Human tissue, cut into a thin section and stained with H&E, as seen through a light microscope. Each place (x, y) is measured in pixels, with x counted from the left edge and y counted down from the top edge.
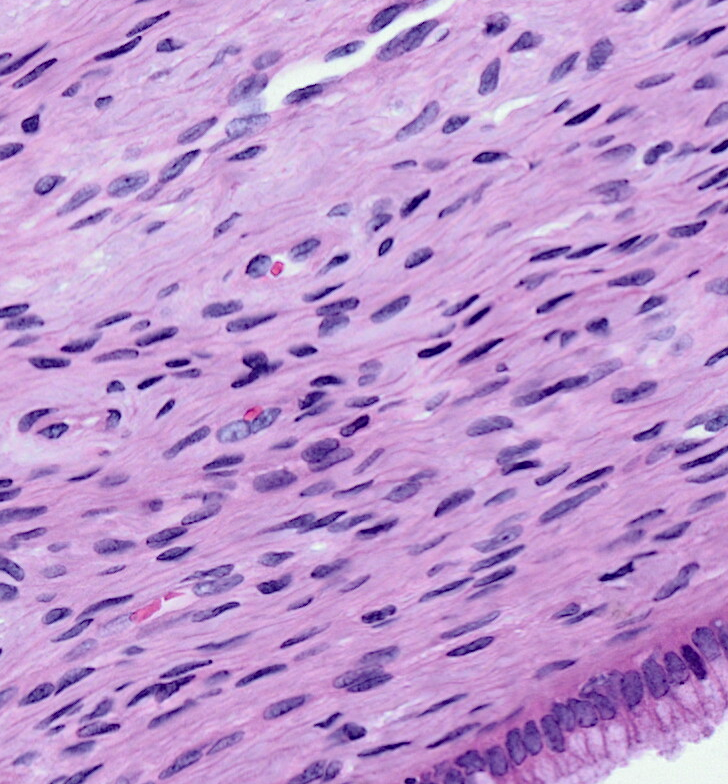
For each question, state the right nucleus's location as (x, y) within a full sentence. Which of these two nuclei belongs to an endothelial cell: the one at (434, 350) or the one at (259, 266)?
The nucleus at (259, 266) is assigned to an endothelial cell.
